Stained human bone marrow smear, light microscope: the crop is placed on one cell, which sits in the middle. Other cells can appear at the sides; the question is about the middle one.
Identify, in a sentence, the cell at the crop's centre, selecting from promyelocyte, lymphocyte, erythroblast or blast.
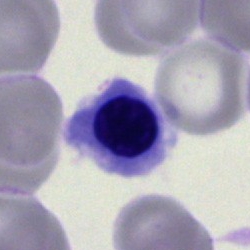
The central cell shown in this smear crop is an erythroblast.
